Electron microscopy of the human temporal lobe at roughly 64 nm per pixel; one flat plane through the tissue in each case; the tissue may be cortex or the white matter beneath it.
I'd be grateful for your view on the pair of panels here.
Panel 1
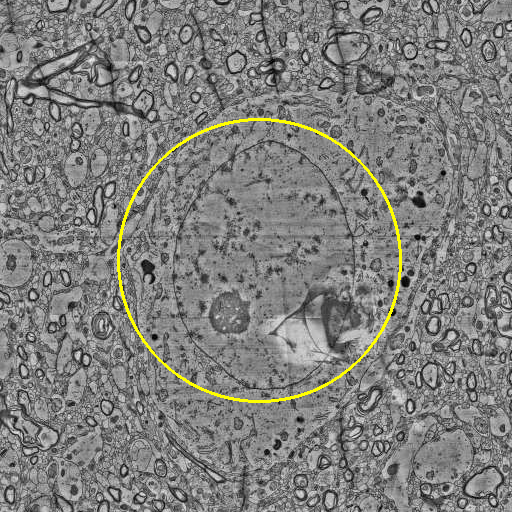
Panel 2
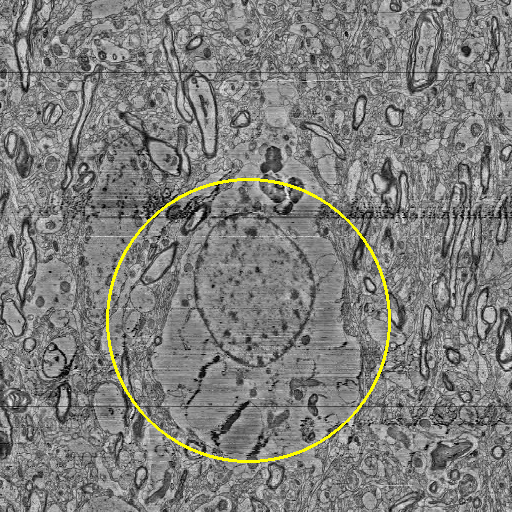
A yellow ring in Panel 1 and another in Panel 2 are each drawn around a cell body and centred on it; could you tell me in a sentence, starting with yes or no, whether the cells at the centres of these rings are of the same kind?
No, they are two kinds of cell.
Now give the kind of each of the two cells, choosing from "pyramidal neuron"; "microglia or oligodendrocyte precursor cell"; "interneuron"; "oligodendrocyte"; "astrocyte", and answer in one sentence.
The cell in the first picture is a pyramidal neuron, and the cell in the second is an astrocyte.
